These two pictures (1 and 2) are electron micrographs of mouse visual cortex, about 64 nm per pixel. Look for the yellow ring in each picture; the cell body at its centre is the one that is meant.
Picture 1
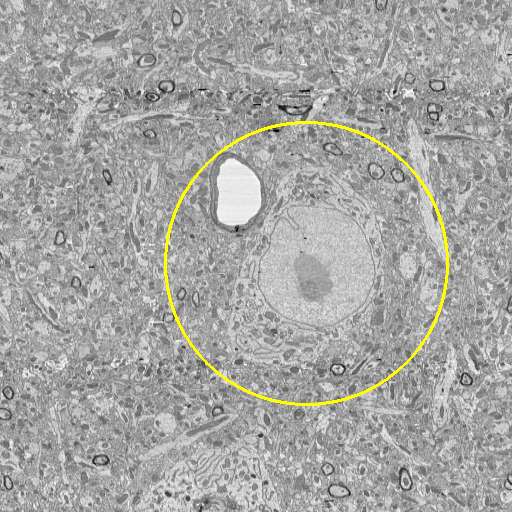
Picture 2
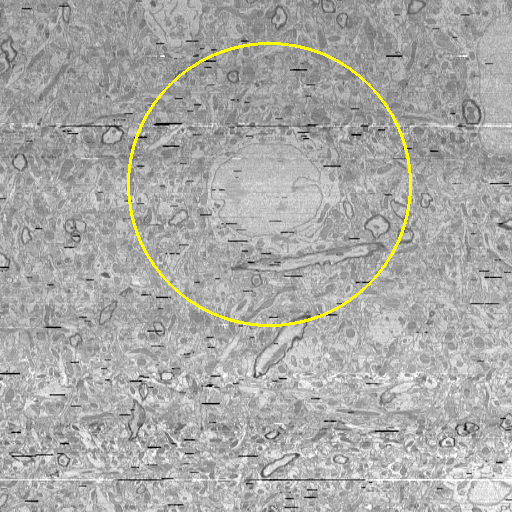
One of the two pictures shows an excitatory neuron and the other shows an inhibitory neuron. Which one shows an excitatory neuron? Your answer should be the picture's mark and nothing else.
2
